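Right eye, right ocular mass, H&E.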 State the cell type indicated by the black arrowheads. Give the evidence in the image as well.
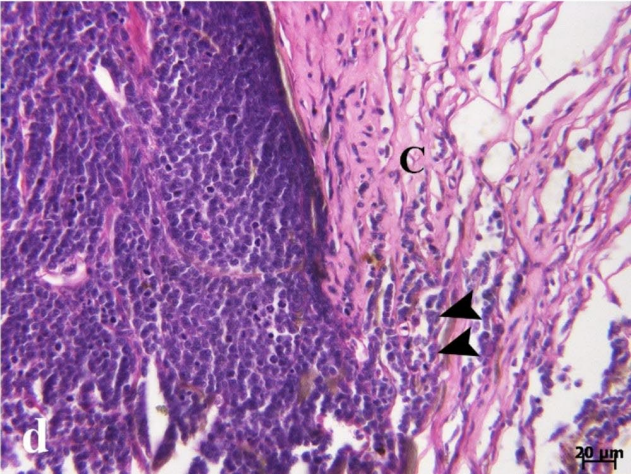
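Neoplastic cells. The arrowheads point at small round dark-nucleated cells lying among pink fibres. Similar cells form a dense sheet on the left side of the panel.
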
